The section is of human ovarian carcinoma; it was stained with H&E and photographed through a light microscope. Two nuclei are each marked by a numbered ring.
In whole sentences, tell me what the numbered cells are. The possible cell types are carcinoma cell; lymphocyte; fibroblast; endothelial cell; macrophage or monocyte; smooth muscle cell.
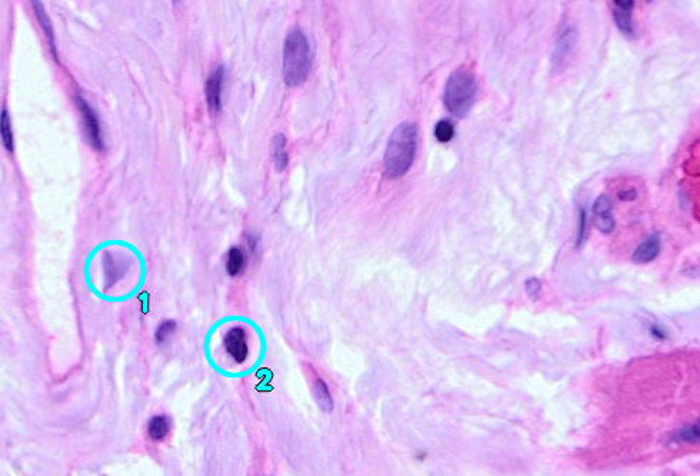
Cell 1 is a fibroblast and cell 2 is a lymphocyte.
